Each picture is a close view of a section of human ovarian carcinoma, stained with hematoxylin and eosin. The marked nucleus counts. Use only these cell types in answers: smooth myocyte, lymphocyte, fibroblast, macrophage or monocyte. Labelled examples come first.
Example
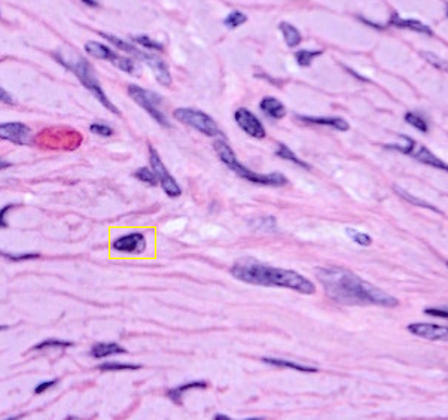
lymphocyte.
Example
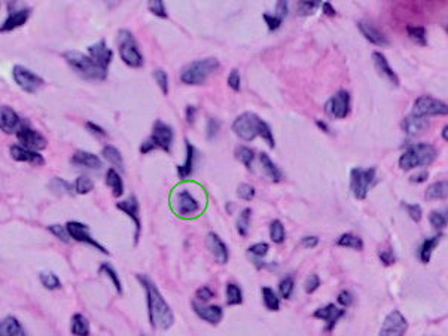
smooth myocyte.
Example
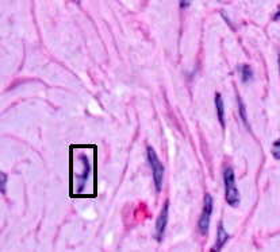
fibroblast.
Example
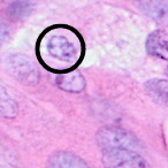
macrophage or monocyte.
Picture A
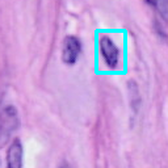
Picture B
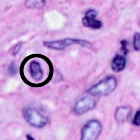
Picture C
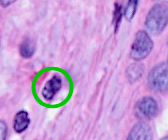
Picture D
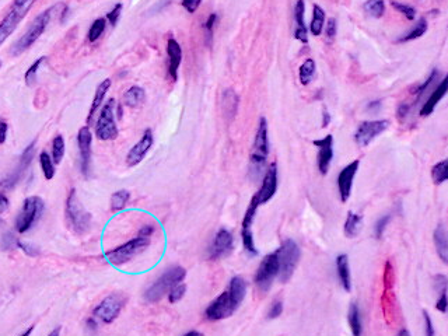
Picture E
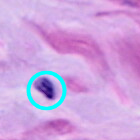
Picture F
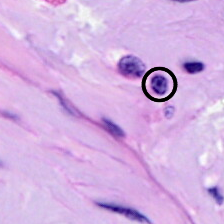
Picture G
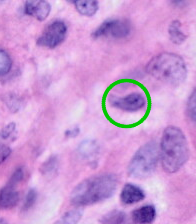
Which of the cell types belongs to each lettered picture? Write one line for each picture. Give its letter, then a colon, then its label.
A: lymphocyte.
B: lymphocyte.
C: lymphocyte.
D: smooth myocyte.
E: lymphocyte.
F: lymphocyte.
G: macrophage or monocyte.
